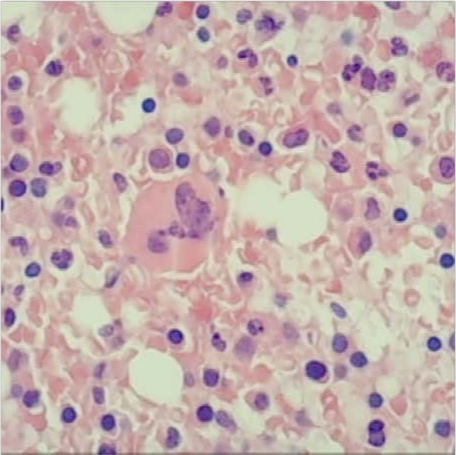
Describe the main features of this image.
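This high-power view of a bone marrow biopsy is packed with hematopoietic cells and pink red cells, leaving only a few round clear fat spaces. Near the centre lies a large cell with abundant pink cytoplasm and a lobulated, clumped dark nucleus, a megakaryocyte. Around it are many small cells with round, dark blue nuclei, consistent with erythroid precursors, mixed with cells showing segmented or indented nuclei of the granulocytic line. The crowding of cells with little fat reflects a hypercellular, hyperplastic marrow.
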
